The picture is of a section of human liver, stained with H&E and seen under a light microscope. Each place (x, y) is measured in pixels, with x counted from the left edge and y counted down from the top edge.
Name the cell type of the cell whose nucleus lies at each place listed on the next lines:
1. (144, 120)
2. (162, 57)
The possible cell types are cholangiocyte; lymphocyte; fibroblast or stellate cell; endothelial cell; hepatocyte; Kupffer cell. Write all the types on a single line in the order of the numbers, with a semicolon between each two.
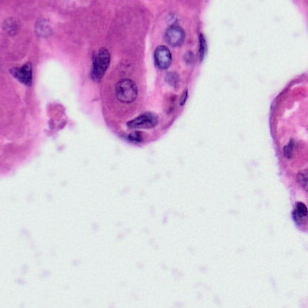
fibroblast or stellate cell; cholangiocyte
